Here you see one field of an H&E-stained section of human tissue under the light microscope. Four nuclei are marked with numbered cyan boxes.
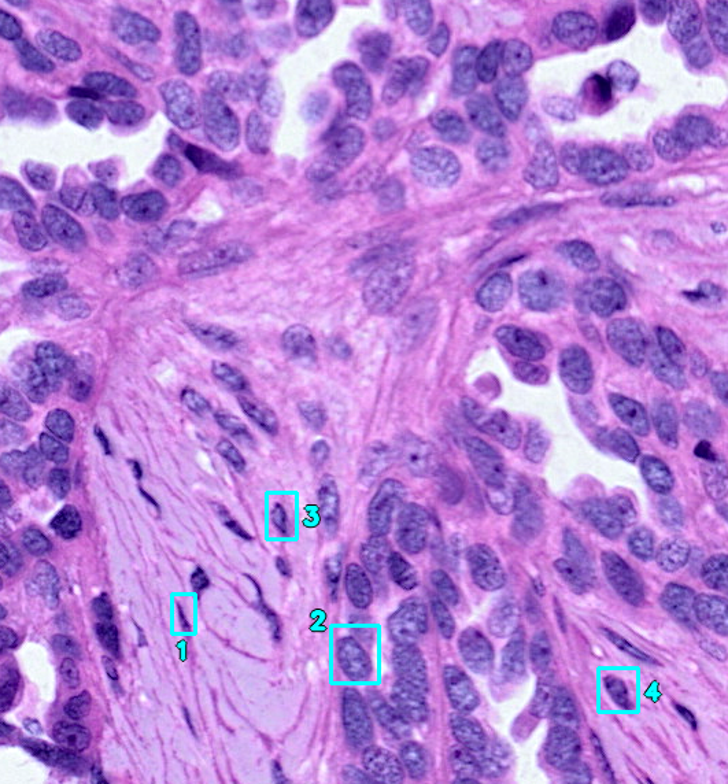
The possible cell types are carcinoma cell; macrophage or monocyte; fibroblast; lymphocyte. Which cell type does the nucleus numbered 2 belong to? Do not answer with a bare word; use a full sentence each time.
The nucleus labelled 2 belongs to a carcinoma cell.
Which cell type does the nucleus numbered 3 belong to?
The cell tagged with 3 in this tissue section is a fibroblast.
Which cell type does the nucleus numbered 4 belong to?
The identity of cell 4 is that of a fibroblast.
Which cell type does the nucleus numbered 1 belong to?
Identified by the number 1, the cell is a fibroblast.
